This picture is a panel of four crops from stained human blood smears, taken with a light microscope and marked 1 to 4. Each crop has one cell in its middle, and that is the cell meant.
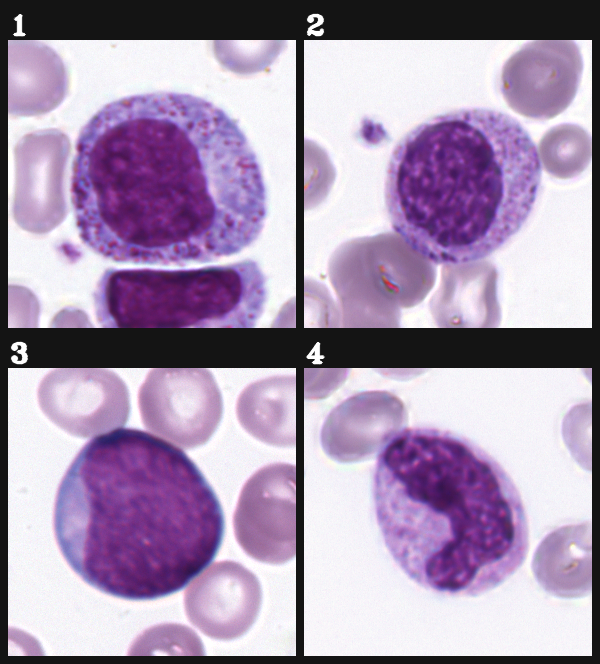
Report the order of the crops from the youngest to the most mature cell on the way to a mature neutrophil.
3, 1, 2, 4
